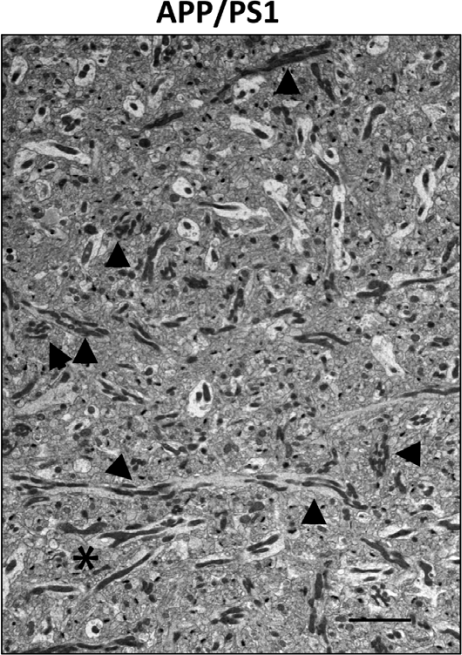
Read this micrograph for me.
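Small dark dots are sprinkled throughout. Paler tubular and ring-shaped profiles of processes cut across or lengthwise run through the field.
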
